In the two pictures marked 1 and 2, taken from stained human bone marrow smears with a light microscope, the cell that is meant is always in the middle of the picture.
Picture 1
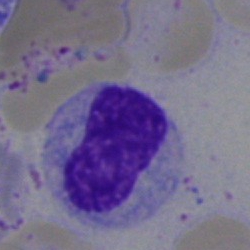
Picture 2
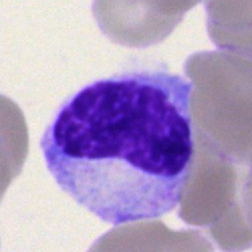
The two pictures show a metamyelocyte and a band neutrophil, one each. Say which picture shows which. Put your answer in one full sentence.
Picture 1 is of a band neutrophil, and picture 2 is of a metamyelocyte.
